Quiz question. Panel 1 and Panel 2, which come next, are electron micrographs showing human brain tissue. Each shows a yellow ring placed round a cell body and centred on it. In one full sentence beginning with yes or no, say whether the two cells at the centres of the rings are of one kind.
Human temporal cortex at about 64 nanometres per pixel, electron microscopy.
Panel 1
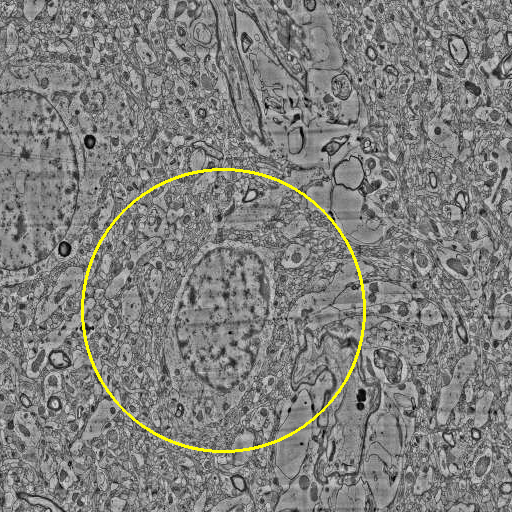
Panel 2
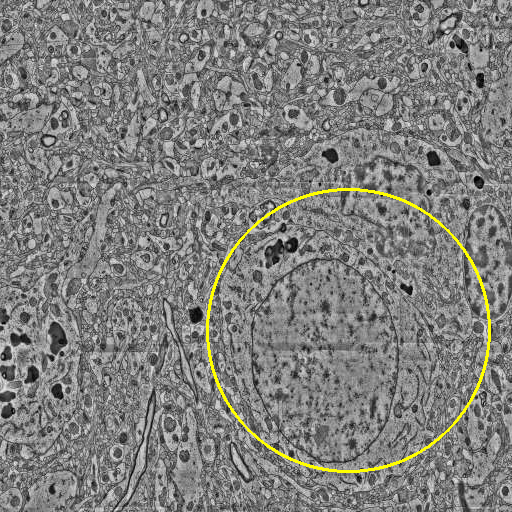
No, Panel 1 and Panel 2 show two kinds of cell at the centre of the ring.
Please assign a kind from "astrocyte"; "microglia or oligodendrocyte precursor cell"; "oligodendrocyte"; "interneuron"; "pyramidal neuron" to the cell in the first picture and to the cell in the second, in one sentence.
In the first picture we have an interneuron, and in the second, a pyramidal neuron.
